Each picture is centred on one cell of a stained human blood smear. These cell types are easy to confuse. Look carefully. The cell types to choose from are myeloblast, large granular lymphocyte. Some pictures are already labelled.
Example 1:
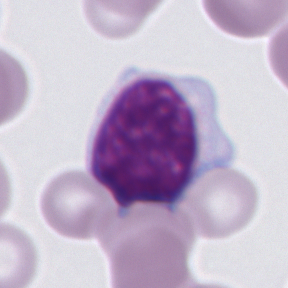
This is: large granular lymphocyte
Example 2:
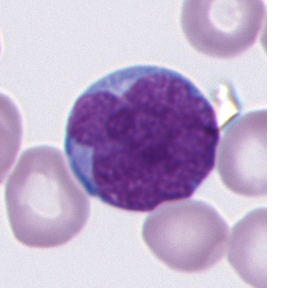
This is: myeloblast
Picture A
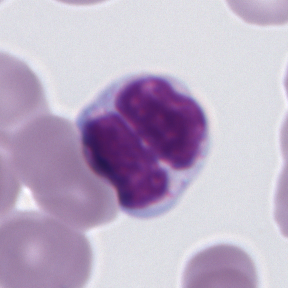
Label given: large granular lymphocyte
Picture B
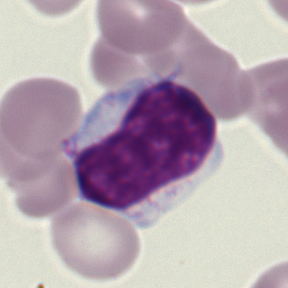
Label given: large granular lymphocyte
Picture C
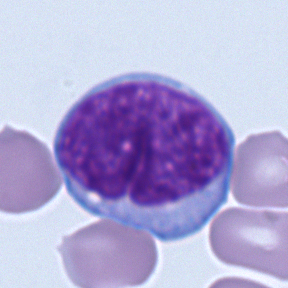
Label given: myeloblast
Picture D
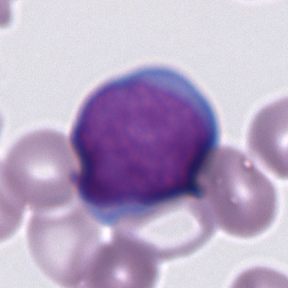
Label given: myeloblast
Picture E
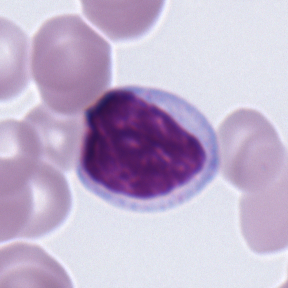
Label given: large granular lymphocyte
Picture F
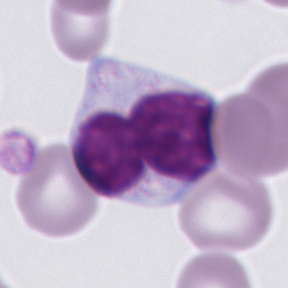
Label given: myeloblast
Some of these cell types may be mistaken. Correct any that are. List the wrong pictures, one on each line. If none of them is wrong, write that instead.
F: change myeloblast to large granular lymphocyte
